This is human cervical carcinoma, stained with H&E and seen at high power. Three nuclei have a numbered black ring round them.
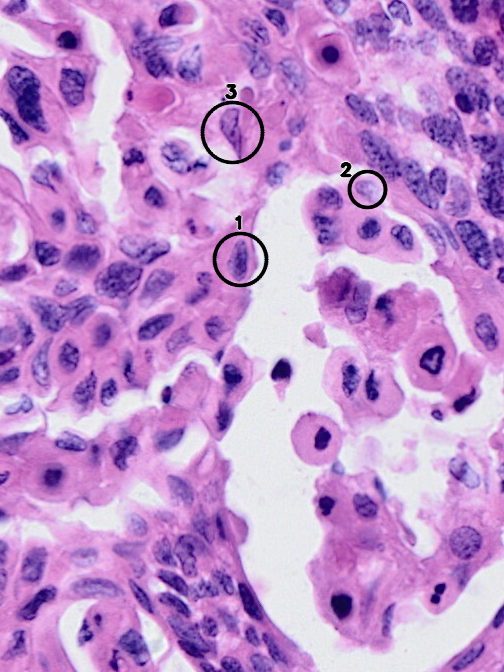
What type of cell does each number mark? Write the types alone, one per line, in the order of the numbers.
squamous carcinoma cell
squamous carcinoma cell
macrophage or monocyte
